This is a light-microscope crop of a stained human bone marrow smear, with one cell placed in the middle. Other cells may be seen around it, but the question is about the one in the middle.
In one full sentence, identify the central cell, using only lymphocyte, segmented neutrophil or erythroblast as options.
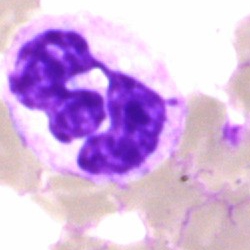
The crop's centre is taken up by a segmented neutrophil.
